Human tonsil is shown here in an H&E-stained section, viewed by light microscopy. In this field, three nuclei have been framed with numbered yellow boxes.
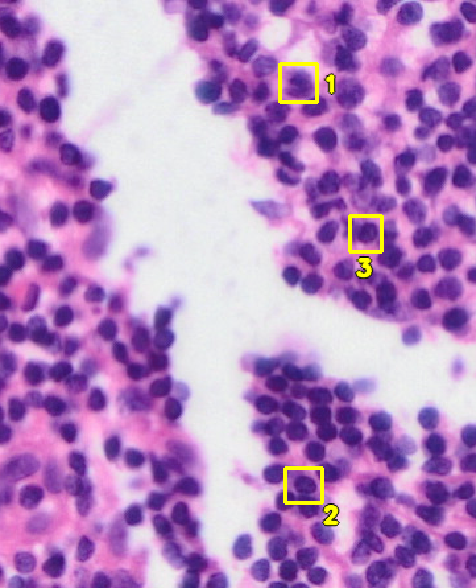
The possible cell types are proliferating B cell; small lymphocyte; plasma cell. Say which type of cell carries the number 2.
small lymphocyte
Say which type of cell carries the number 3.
small lymphocyte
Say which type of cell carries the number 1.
proliferating B cell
